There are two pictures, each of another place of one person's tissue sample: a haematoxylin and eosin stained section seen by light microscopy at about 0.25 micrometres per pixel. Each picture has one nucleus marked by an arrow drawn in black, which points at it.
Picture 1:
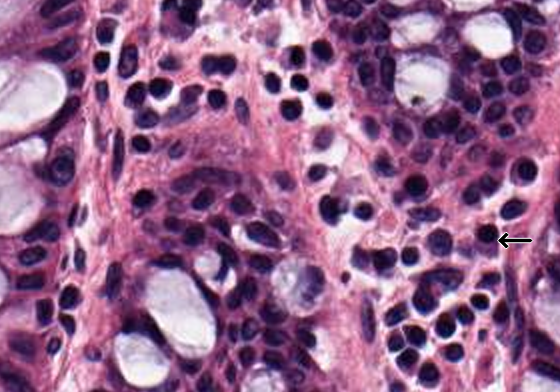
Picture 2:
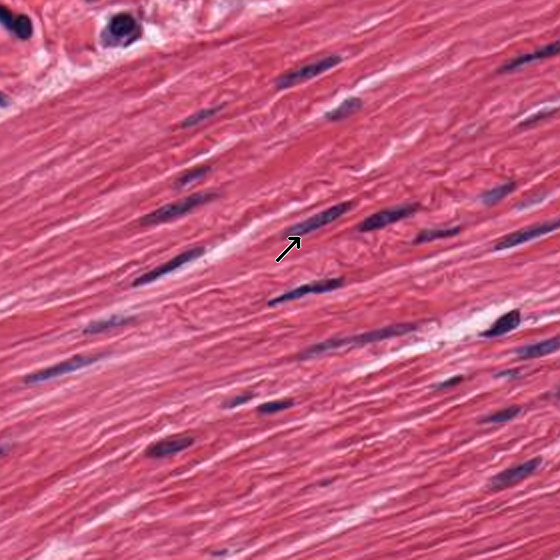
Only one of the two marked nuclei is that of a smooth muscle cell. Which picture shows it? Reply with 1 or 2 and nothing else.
2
